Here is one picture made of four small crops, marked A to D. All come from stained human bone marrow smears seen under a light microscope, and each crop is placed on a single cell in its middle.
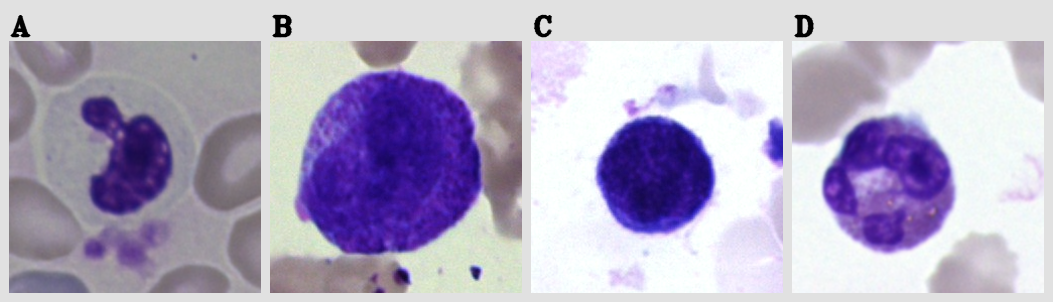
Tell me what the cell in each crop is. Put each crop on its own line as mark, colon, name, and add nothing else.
A: segmented neutrophil
B: blast
C: blast
D: eosinophil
